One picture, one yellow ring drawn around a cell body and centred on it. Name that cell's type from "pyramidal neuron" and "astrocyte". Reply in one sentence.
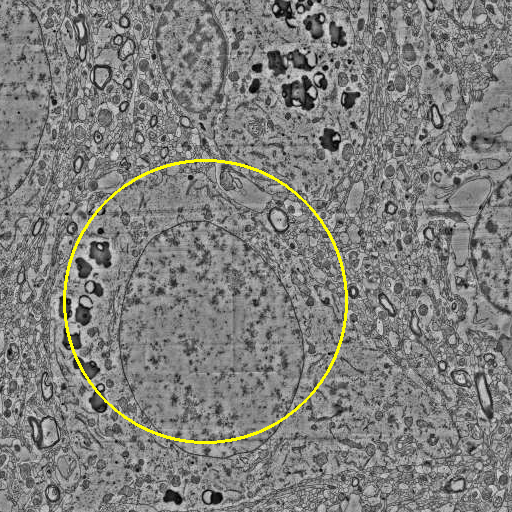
Centred in the ring is a pyramidal neuron.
